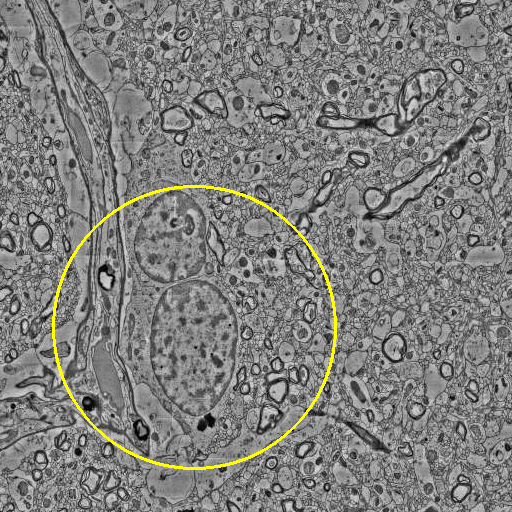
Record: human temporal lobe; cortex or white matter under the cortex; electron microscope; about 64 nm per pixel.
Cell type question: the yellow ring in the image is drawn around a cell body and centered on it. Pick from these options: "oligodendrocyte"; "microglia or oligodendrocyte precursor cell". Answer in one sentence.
The ringed cell at the center is an oligodendrocyte.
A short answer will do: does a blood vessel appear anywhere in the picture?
Yes, one appears.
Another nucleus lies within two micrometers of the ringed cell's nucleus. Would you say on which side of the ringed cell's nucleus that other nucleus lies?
The other nucleus can be seen above it.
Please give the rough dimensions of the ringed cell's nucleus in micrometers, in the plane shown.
The nucleus is about 9 micrometres in length and 6 in width, clearly longer than it is wide in this plane.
